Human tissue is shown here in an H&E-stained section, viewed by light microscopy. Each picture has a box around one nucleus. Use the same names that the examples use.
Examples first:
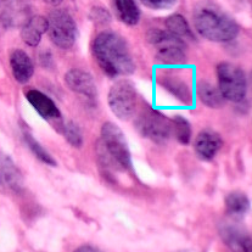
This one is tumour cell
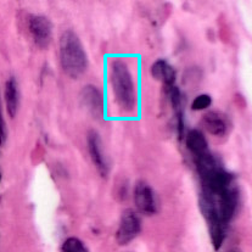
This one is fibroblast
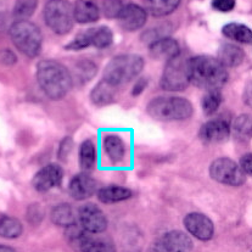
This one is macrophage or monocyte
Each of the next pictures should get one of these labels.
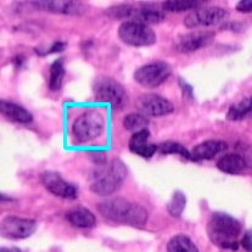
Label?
macrophage or monocyte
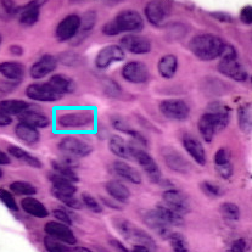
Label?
tumour cell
